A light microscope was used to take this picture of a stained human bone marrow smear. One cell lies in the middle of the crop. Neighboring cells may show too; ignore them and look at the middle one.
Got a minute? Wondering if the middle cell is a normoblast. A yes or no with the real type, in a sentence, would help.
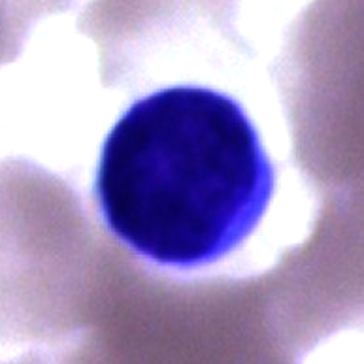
No, the centrally located cell is a lymphocyte rather than a normoblast.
